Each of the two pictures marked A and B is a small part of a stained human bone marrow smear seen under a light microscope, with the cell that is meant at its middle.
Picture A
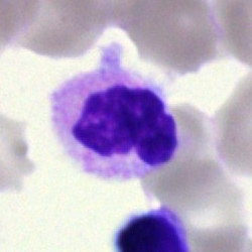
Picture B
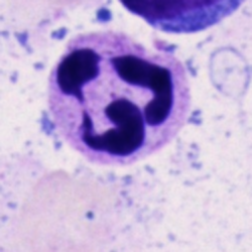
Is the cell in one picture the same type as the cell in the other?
yes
